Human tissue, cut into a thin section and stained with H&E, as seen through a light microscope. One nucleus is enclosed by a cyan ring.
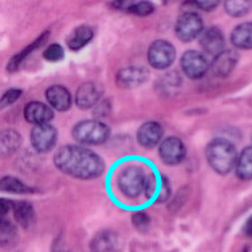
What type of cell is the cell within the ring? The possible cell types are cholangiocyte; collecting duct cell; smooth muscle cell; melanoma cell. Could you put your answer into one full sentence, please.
As for its identity, the cell within the ring is a cholangiocyte.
